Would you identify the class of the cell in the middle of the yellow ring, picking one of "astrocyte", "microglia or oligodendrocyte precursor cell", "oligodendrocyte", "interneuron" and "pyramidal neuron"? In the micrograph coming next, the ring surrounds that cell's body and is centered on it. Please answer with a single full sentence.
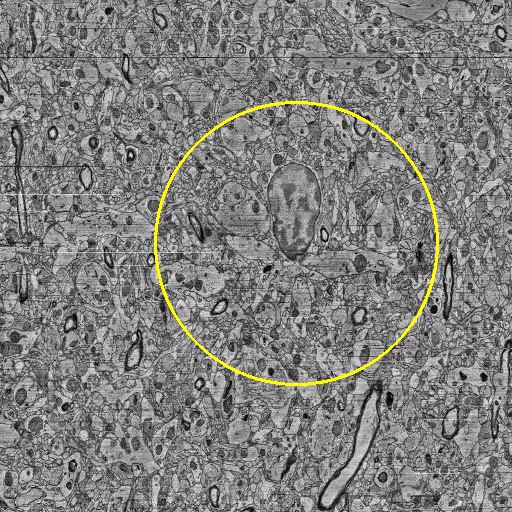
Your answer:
In the micrograph, it is a microglial cell or oligodendrocyte precursor cell whose body lies at the ring's center.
